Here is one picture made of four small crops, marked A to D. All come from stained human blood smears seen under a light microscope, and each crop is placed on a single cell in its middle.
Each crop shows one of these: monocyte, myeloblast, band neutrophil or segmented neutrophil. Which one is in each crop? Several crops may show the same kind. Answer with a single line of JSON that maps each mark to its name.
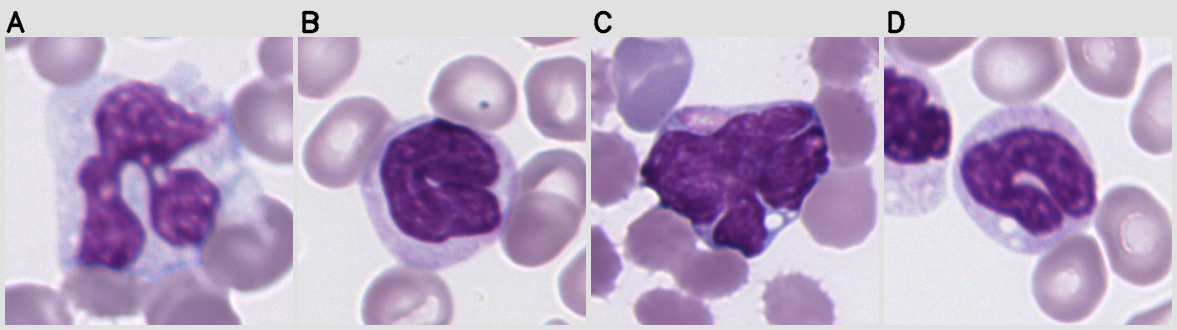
{"A": "monocyte", "B": "band neutrophil", "C": "monocyte", "D": "segmented neutrophil"}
